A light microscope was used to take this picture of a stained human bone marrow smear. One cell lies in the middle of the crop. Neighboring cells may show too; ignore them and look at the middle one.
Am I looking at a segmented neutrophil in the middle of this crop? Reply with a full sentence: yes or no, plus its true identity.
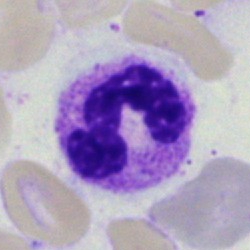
Yes, the centrally placed cell is a segmented neutrophil.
